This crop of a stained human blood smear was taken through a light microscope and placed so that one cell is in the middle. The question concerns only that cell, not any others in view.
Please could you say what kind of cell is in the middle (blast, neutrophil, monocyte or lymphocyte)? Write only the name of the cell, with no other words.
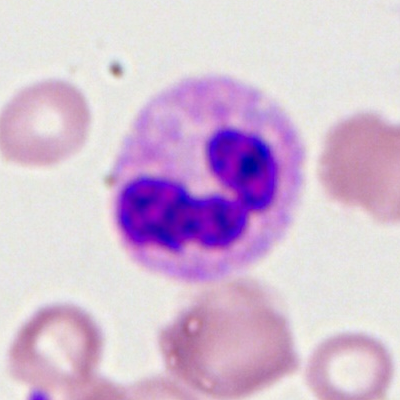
neutrophil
